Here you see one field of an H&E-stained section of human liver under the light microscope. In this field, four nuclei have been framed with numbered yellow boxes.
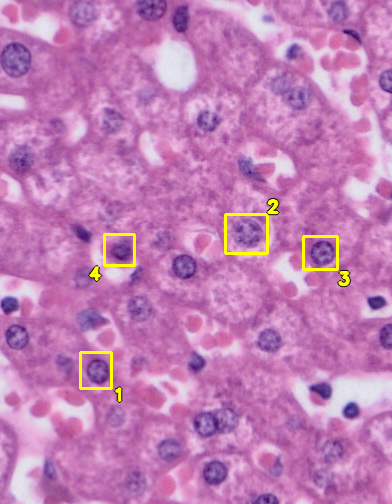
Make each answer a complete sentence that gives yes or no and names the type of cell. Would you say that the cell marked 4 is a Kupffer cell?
Yes, the cell at number 4 is a Kupffer cell.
